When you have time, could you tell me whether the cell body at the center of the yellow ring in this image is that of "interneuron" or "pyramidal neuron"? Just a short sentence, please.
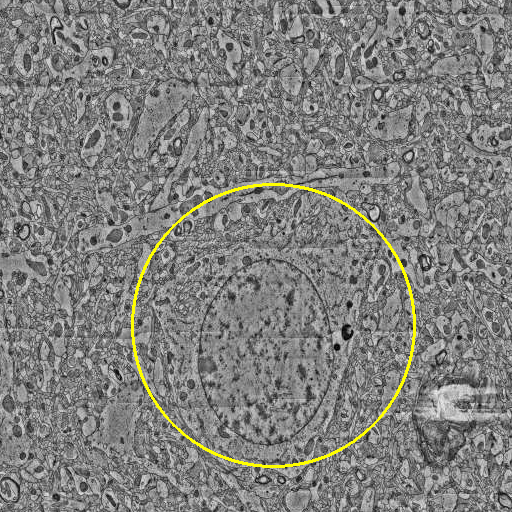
The cell body at the center of the ring is that of a pyramidal neuron.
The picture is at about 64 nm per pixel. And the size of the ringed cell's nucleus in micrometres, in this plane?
About 12 by 9 micrometers, in this plane.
